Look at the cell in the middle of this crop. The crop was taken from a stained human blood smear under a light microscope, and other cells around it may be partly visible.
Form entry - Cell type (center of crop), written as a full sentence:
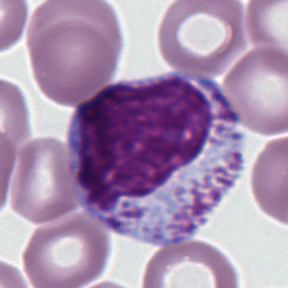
Present in the middle of the crop is a myelocyte.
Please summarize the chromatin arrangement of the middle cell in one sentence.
If you check the nucleus, you will find the chromatin coarsely clumped.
